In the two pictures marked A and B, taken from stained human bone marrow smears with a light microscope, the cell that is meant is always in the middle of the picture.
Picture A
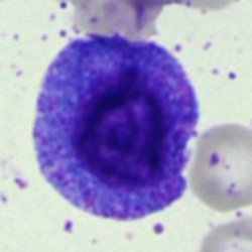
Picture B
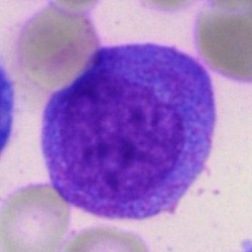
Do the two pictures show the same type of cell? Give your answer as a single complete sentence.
Yes, they are the same type: both are promyelocytes.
